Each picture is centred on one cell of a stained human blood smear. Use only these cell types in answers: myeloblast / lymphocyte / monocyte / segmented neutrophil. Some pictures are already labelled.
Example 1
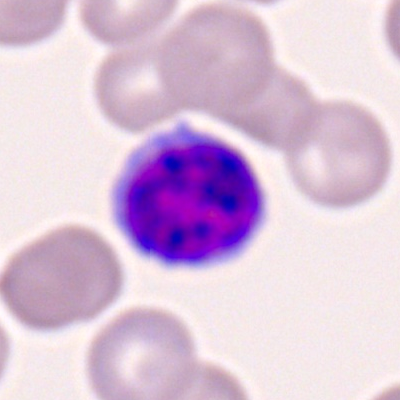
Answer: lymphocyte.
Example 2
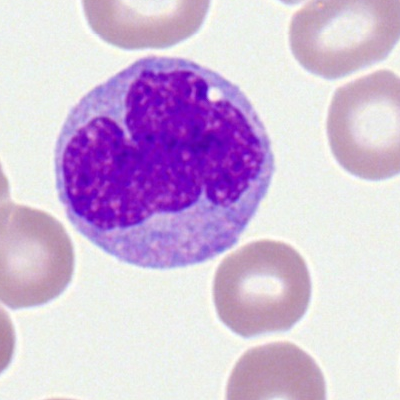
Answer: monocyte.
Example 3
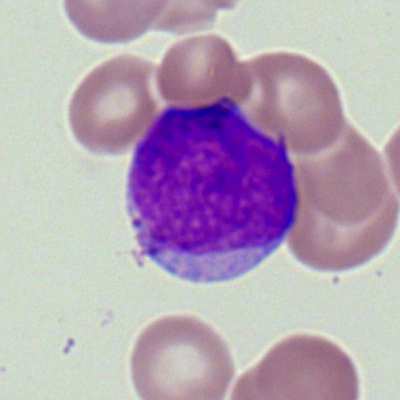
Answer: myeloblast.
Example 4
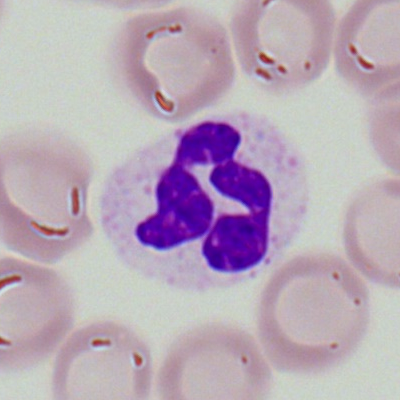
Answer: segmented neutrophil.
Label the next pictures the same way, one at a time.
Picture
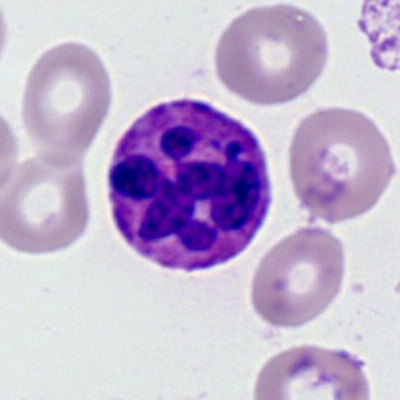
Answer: segmented neutrophil.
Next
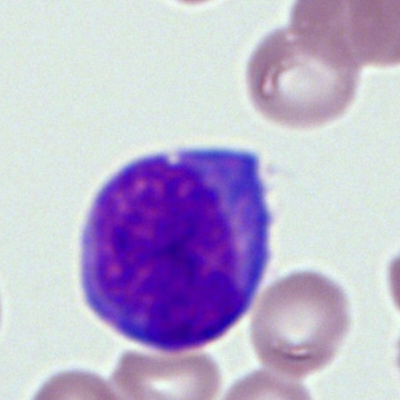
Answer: myeloblast.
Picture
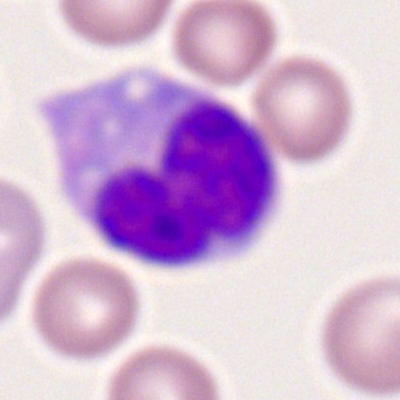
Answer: monocyte.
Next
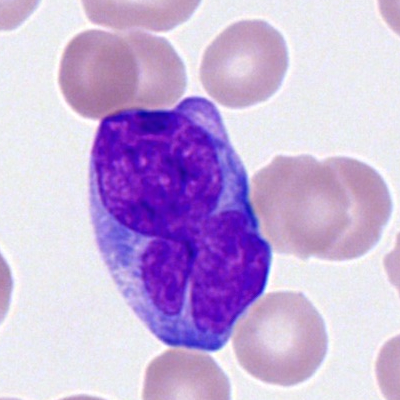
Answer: myeloblast.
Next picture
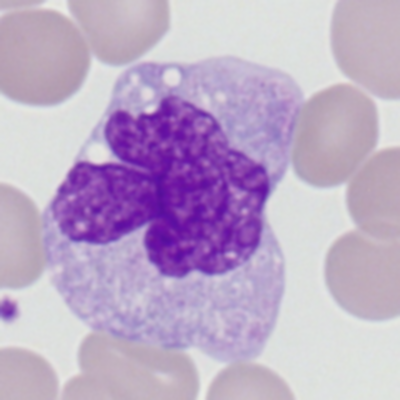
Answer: monocyte.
